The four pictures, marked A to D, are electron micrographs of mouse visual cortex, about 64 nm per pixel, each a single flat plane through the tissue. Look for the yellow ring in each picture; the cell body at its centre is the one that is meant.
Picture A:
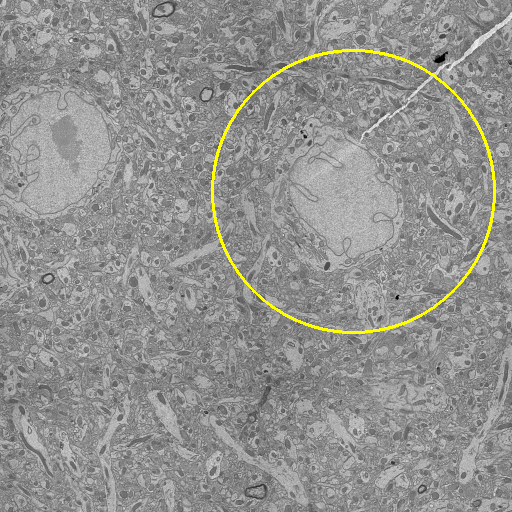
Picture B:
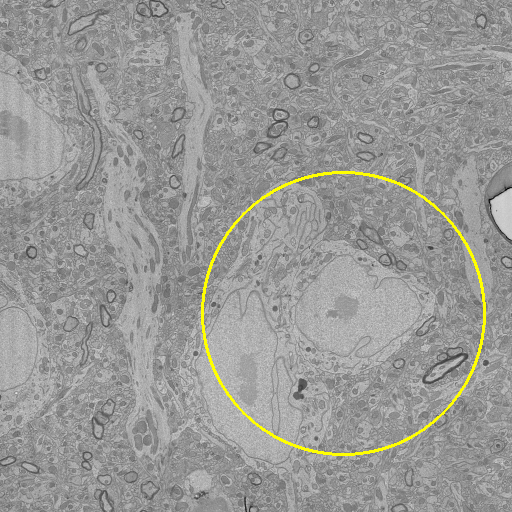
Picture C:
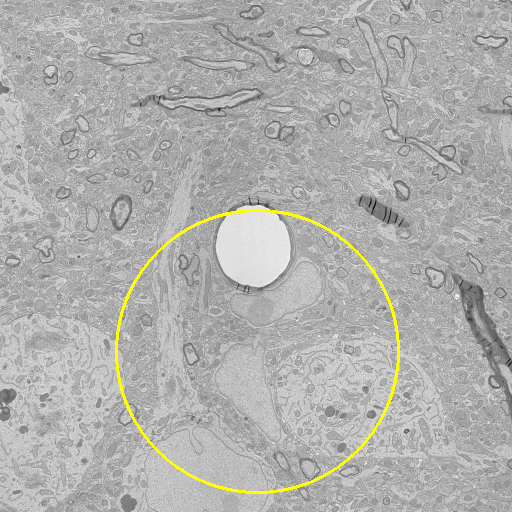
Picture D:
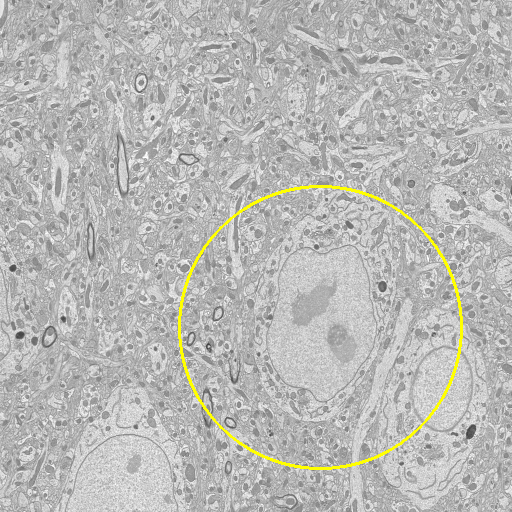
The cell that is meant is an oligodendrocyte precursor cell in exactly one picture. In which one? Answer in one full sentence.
The cell in picture C is the oligodendrocyte precursor cell.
